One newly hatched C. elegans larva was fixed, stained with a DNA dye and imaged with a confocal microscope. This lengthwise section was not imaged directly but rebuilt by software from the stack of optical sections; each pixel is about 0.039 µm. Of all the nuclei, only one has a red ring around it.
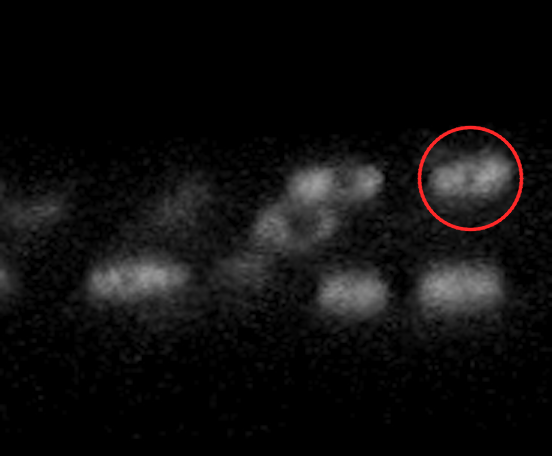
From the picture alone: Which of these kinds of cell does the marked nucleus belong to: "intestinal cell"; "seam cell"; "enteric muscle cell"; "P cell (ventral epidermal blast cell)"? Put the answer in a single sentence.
It belongs to a seam cell.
